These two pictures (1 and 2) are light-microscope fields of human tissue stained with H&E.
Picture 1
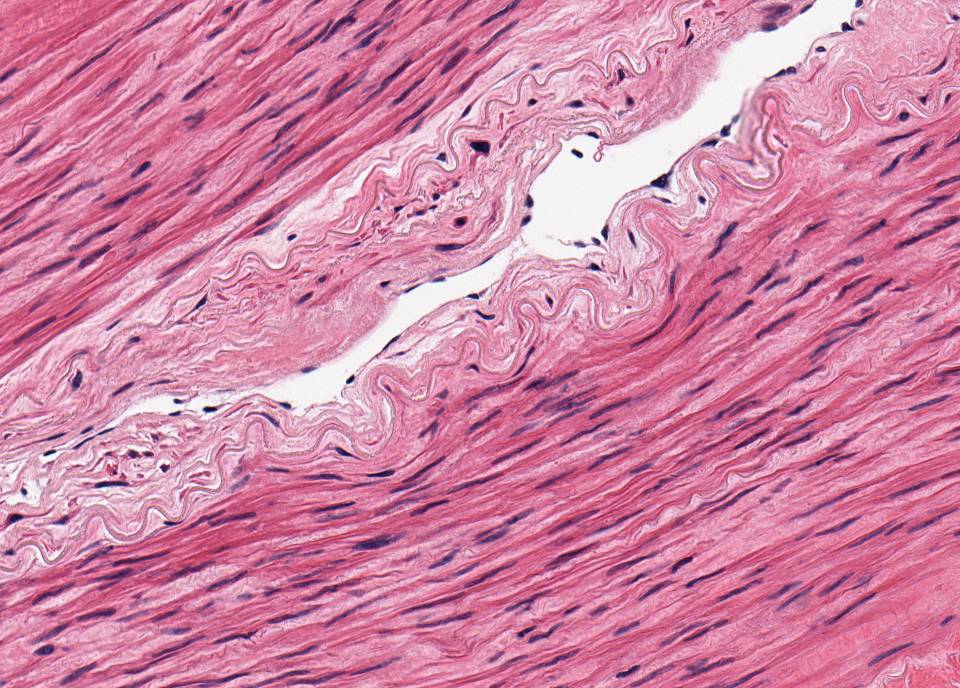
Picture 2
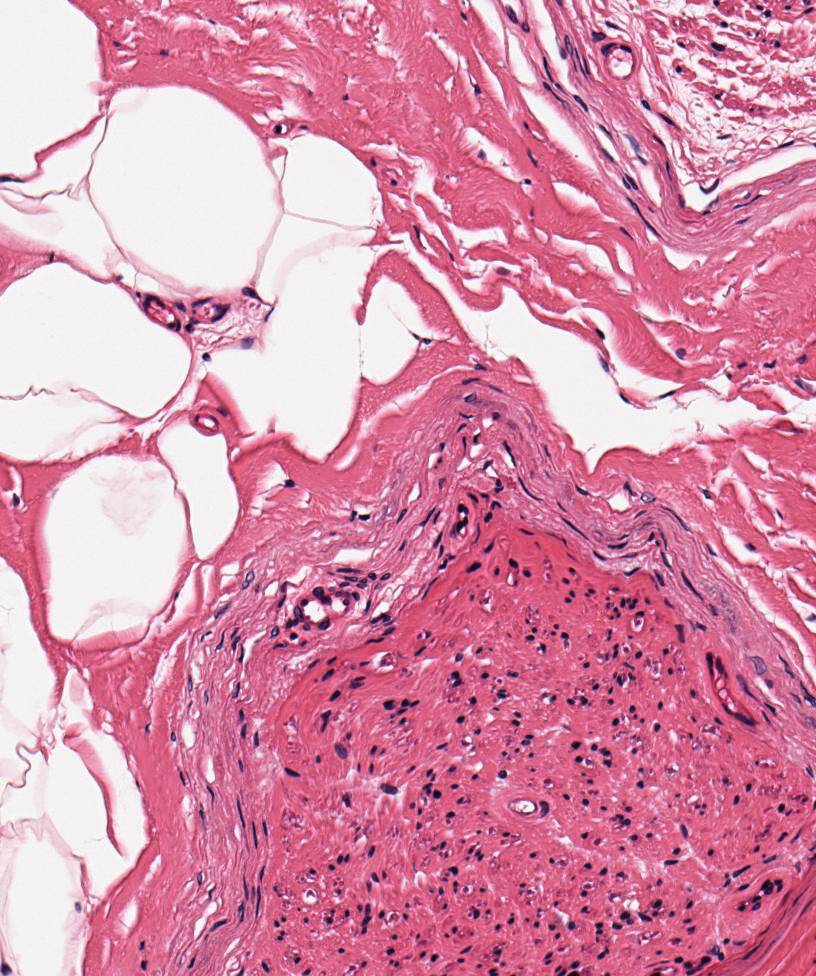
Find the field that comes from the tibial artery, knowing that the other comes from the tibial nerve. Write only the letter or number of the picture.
1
